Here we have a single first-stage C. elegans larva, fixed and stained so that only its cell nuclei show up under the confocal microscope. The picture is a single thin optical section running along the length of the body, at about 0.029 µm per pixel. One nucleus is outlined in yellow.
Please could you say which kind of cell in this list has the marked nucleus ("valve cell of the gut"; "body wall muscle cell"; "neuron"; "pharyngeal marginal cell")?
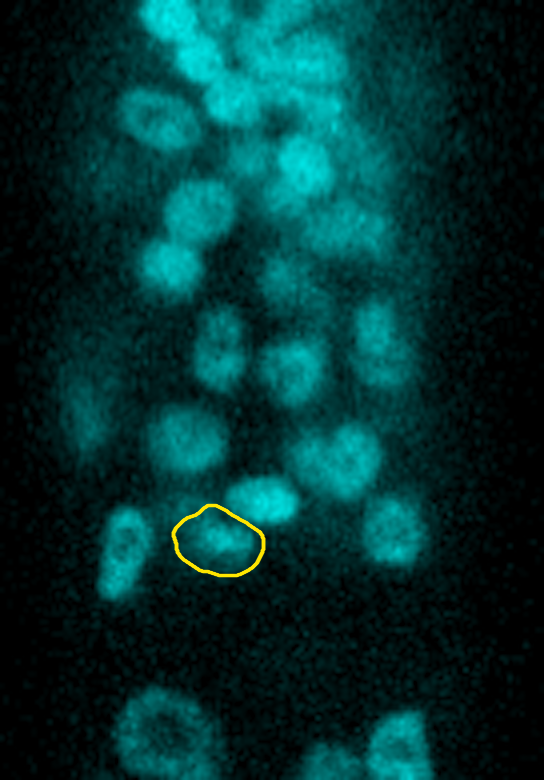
valve cell of the gut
